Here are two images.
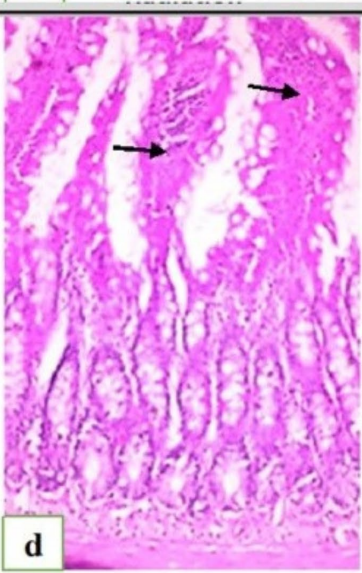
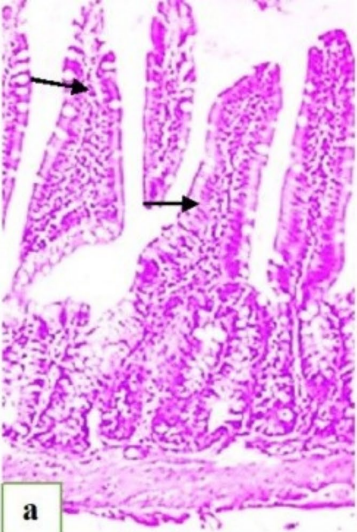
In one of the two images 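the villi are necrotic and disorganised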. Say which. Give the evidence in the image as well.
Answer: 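Second image: villi are slender, separate and covered by a regular epithelial layer.
Conclusion: the first image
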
